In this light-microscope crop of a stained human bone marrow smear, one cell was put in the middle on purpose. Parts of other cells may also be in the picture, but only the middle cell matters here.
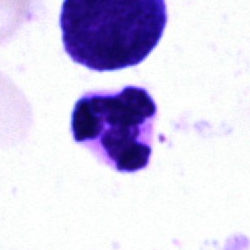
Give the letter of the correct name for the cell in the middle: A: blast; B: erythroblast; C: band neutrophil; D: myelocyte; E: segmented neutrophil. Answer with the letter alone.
E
